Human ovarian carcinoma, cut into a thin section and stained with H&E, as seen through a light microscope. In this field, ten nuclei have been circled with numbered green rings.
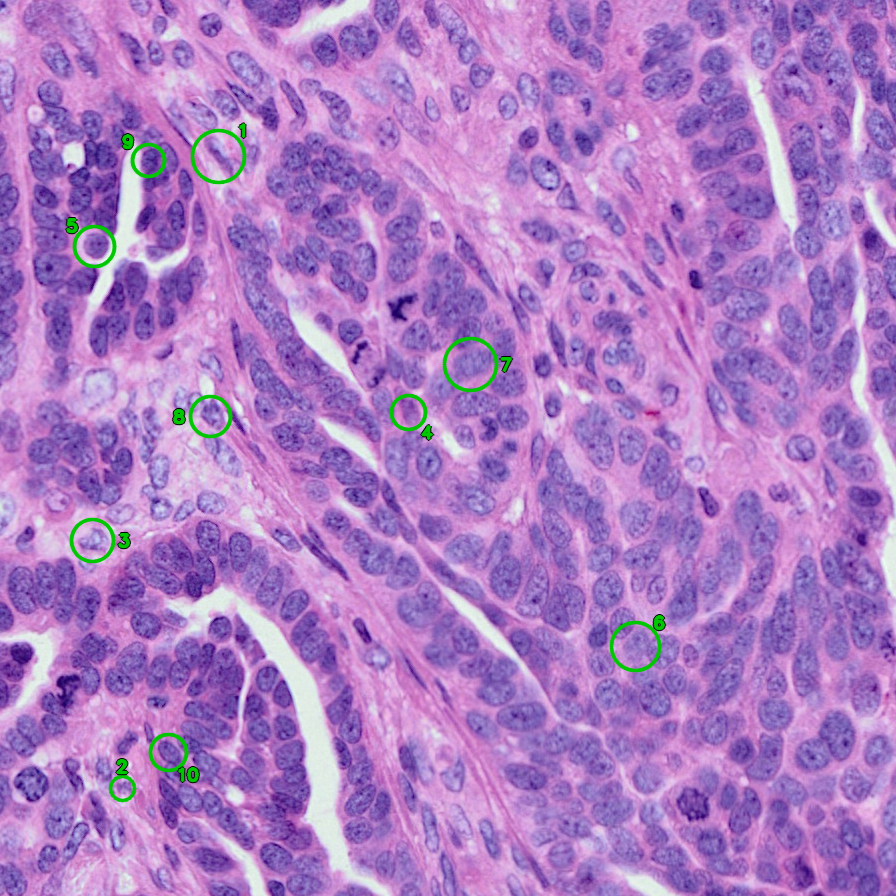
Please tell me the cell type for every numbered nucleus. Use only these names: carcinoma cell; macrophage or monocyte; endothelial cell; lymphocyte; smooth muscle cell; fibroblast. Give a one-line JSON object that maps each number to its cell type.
{"1": "fibroblast", "2": "fibroblast", "3": "fibroblast", "4": "carcinoma cell", "5": "carcinoma cell", "6": "carcinoma cell", "7": "carcinoma cell", "8": "fibroblast", "9": "carcinoma cell", "10": "carcinoma cell"}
